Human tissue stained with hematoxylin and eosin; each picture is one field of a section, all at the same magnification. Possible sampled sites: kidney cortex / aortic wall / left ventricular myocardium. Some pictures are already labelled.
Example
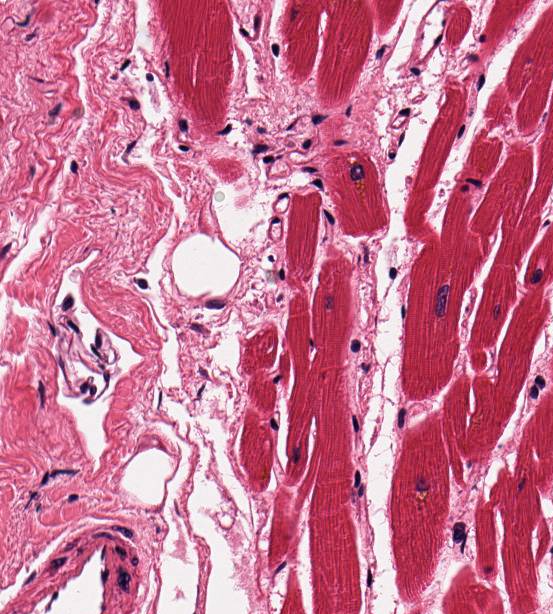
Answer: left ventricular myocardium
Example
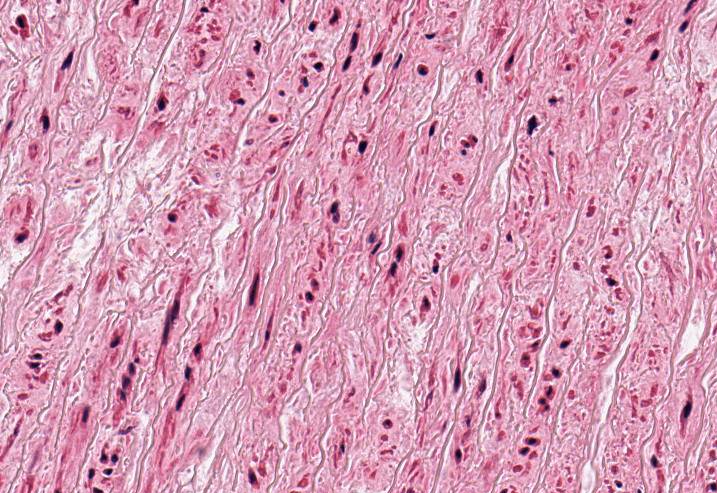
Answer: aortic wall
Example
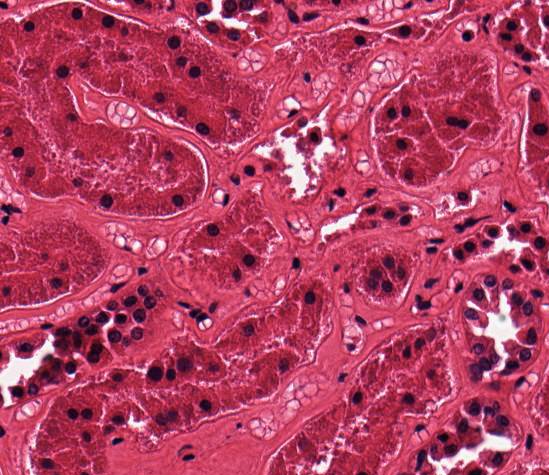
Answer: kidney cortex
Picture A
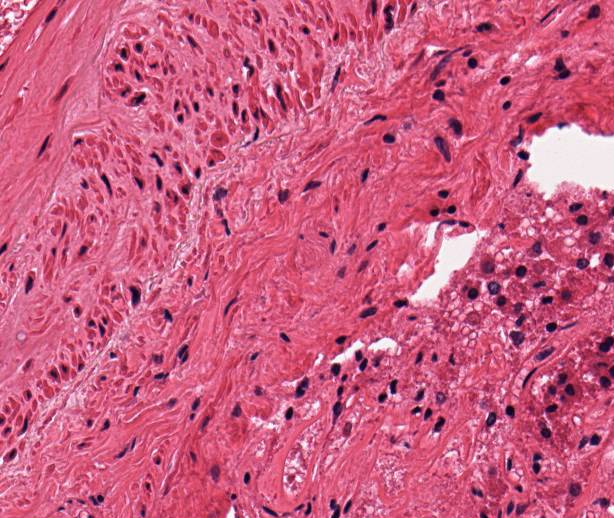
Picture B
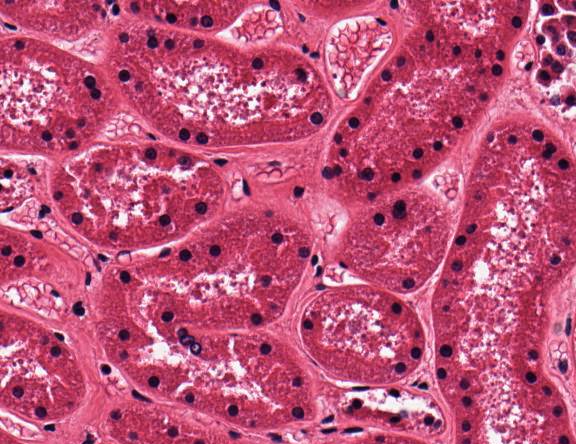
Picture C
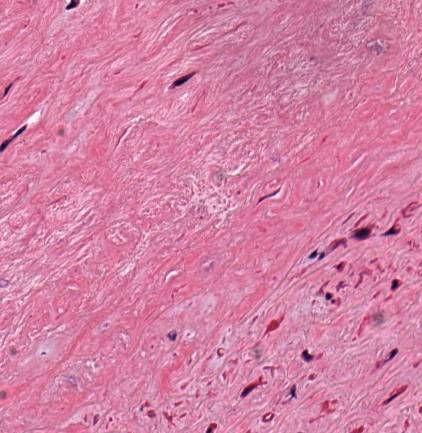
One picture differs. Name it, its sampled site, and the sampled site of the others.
C: aortic wall; all the others: kidney cortex.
